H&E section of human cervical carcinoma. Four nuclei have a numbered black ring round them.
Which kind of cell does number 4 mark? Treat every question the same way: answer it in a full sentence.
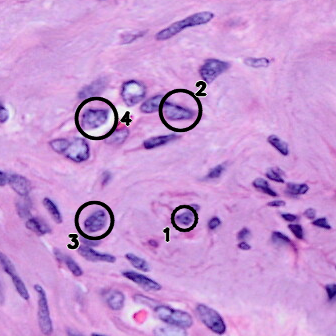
Cell 4 is classified as an endothelial cell.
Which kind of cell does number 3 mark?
Cell 3, as marked in the section, is a fibroblast.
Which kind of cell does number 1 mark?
Among the marked cells, number 1 is a smooth muscle cell.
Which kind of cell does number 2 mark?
Cell number 2 in this section is an endothelial cell.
